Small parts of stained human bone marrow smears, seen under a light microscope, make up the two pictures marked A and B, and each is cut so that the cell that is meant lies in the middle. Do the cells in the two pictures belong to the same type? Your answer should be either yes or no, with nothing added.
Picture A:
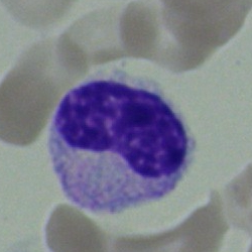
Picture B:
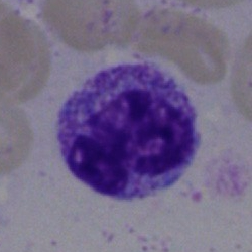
yes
